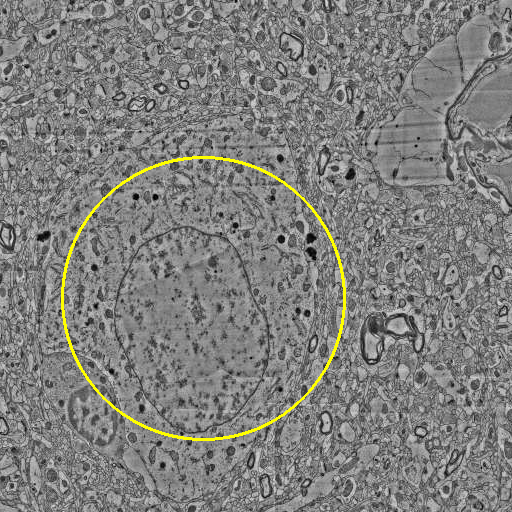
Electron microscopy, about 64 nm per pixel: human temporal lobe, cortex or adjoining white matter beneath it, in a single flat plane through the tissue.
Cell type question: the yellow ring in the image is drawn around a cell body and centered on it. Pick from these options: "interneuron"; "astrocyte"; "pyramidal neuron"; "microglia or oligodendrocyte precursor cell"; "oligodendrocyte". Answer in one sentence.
The ringed cell at the center is a pyramidal neuron.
